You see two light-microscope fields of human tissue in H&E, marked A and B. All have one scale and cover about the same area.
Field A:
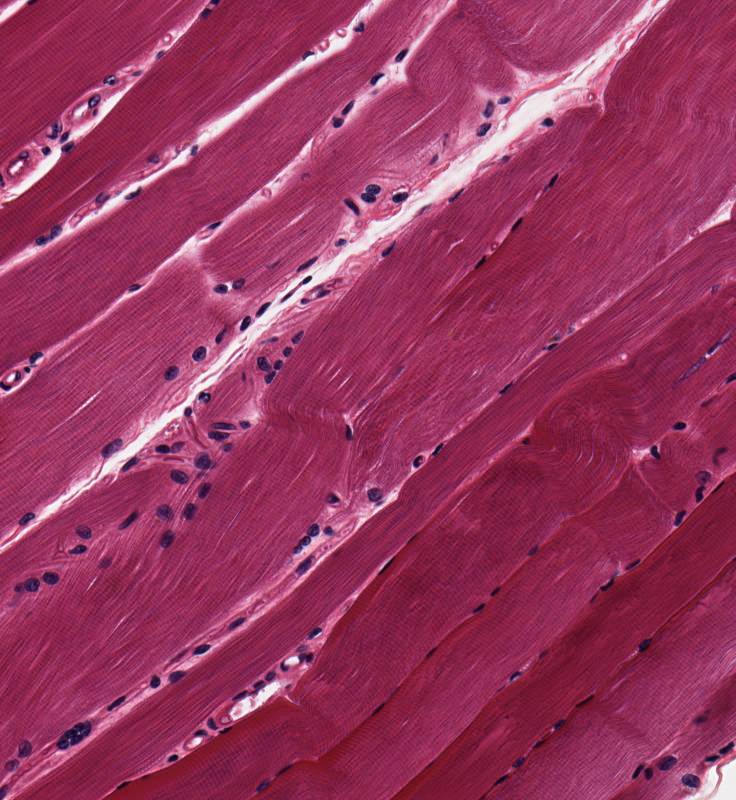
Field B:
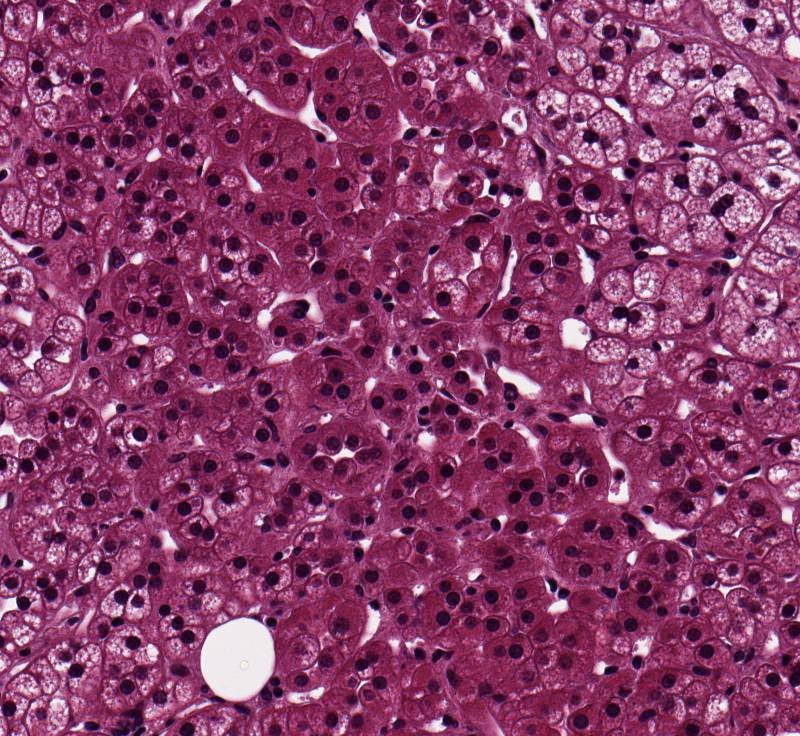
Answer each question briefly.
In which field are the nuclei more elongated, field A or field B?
A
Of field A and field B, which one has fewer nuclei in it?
A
